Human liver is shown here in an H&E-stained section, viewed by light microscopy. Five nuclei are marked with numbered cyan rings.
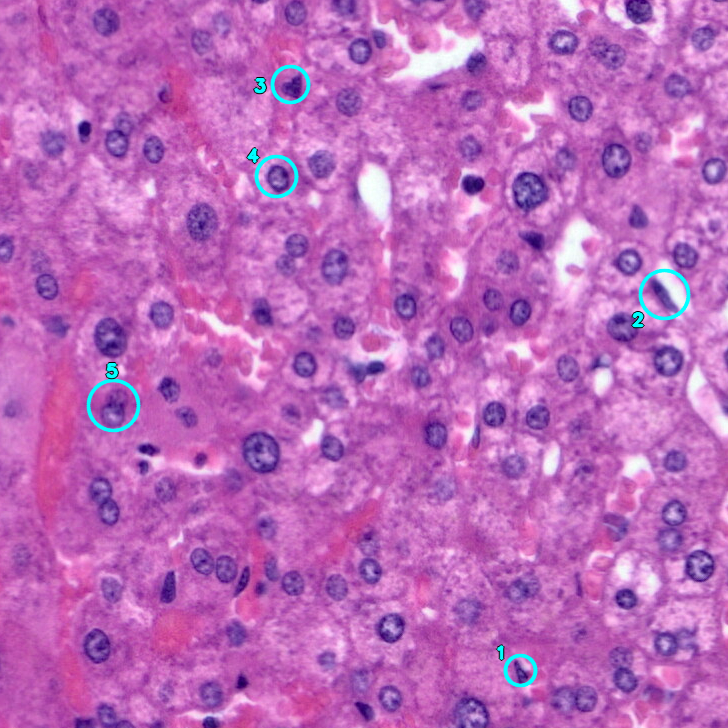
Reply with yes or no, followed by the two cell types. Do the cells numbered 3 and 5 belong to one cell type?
No; cell 3 is a fibroblast or stellate cell, and cell 5 is a hepatocyte.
